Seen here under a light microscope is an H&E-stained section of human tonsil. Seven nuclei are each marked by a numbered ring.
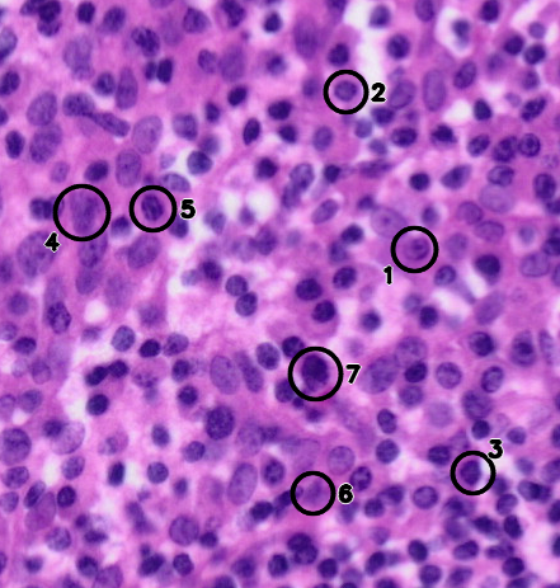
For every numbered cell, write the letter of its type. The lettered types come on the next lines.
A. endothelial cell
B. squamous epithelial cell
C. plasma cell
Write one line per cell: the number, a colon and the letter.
1: C
2: C
3: C
4: B
5: C
6: A
7: B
